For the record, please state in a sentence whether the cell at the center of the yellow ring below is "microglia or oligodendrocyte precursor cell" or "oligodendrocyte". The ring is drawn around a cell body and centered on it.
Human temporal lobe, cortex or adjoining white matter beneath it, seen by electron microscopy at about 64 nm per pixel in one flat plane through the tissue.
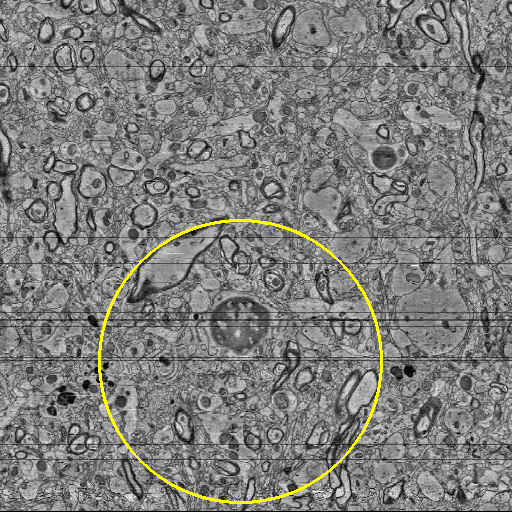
The cell at the ring's center is a microglial cell or oligodendrocyte precursor cell.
